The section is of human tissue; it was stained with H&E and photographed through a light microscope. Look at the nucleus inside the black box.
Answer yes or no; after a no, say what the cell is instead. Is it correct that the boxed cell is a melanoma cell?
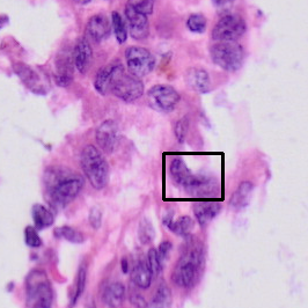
Yes.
